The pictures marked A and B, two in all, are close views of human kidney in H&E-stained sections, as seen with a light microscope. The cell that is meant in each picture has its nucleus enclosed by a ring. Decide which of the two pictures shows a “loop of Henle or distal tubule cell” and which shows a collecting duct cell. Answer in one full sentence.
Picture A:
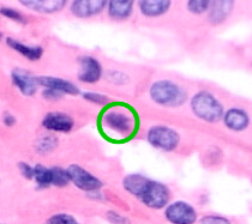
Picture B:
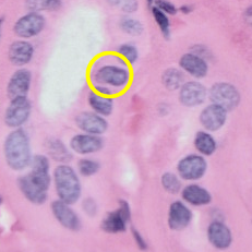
Picture B shows a collecting duct cell, while picture A shows a “loop of Henle or distal tubule cell”.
